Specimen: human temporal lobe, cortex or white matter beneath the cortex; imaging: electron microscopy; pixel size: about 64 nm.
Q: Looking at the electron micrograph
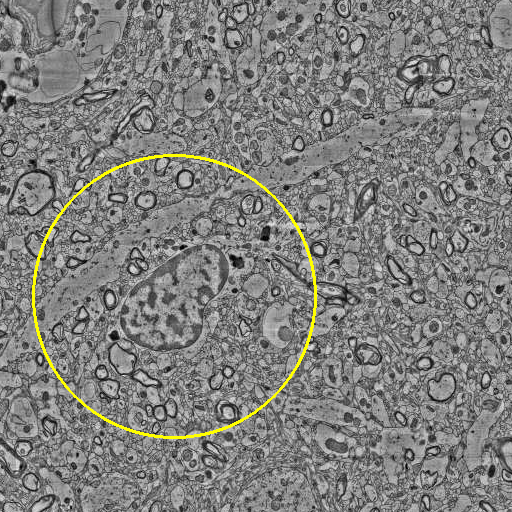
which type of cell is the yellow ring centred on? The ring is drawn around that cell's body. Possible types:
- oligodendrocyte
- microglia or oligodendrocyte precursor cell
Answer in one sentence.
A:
The yellow ring is centred on a microglial cell or oligodendrocyte precursor cell.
